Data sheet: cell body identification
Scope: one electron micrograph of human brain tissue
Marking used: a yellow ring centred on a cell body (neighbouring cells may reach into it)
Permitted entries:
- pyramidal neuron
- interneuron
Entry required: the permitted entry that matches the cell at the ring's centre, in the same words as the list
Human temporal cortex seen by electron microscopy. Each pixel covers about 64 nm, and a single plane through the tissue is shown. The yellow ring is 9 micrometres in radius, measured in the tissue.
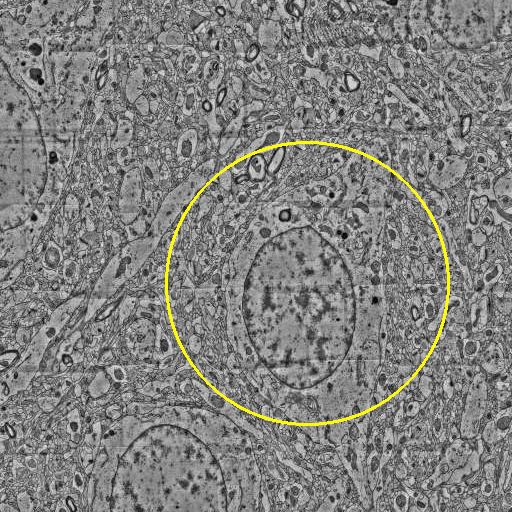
pyramidal neuron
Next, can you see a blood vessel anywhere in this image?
No.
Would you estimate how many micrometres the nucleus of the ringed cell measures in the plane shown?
Approximately 10 x 7 micrometres in this plane.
